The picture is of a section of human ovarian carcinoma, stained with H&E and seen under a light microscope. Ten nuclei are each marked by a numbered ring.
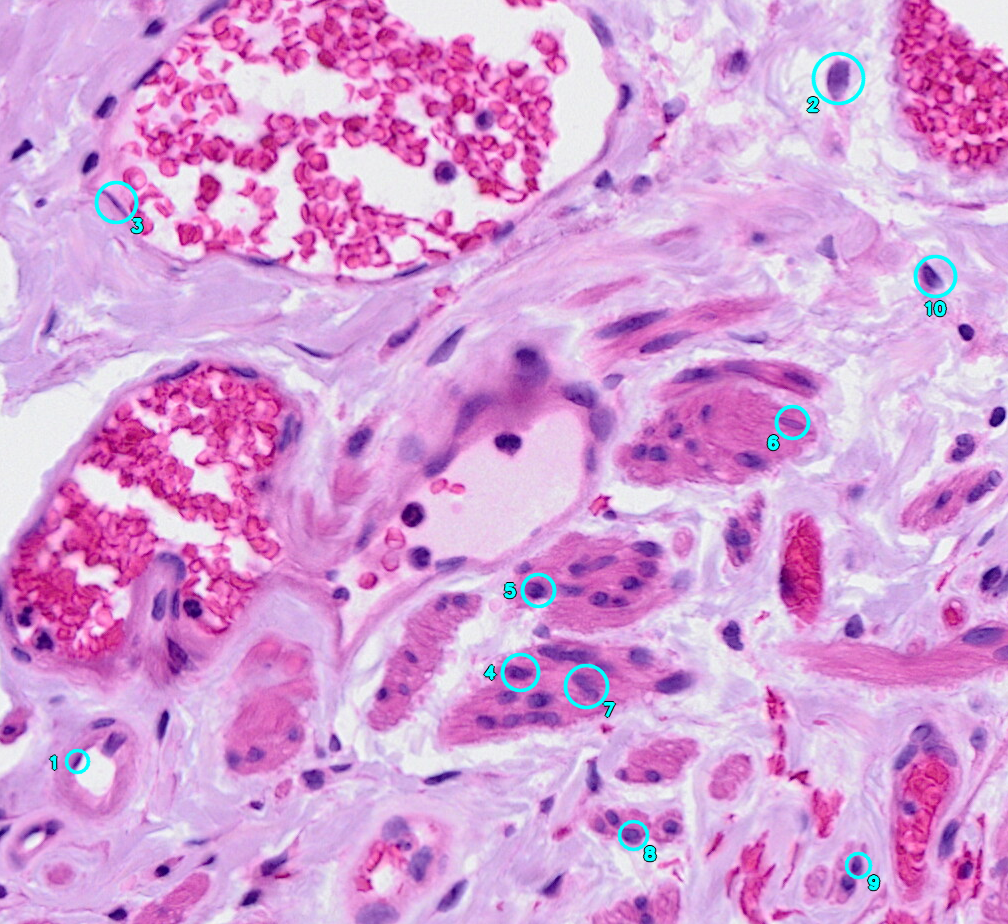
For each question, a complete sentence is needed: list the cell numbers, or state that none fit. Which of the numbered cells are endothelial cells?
Within this tissue, the cells numbered 1 and 3 are endothelial cells.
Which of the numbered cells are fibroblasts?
Cells 2 and 10 in the section are typed as fibroblasts.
